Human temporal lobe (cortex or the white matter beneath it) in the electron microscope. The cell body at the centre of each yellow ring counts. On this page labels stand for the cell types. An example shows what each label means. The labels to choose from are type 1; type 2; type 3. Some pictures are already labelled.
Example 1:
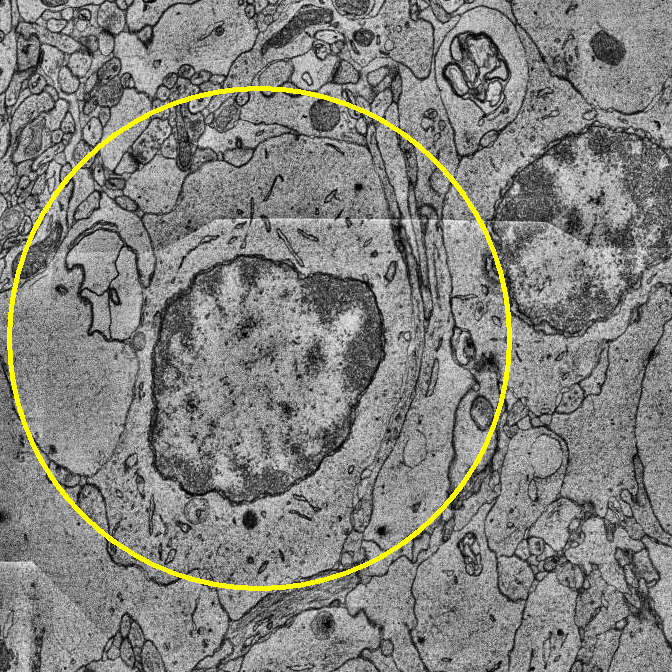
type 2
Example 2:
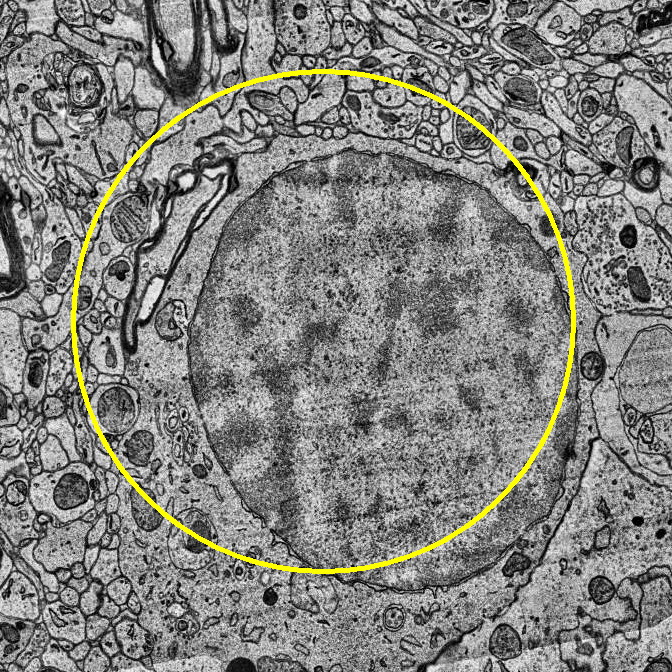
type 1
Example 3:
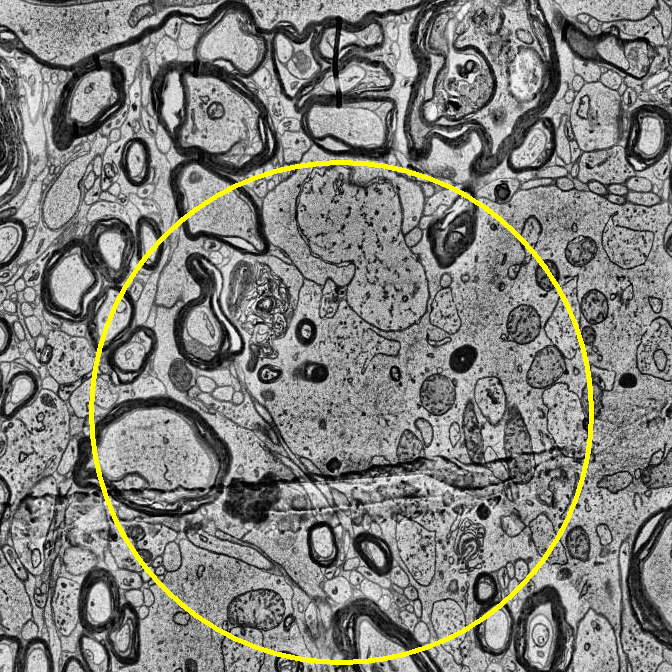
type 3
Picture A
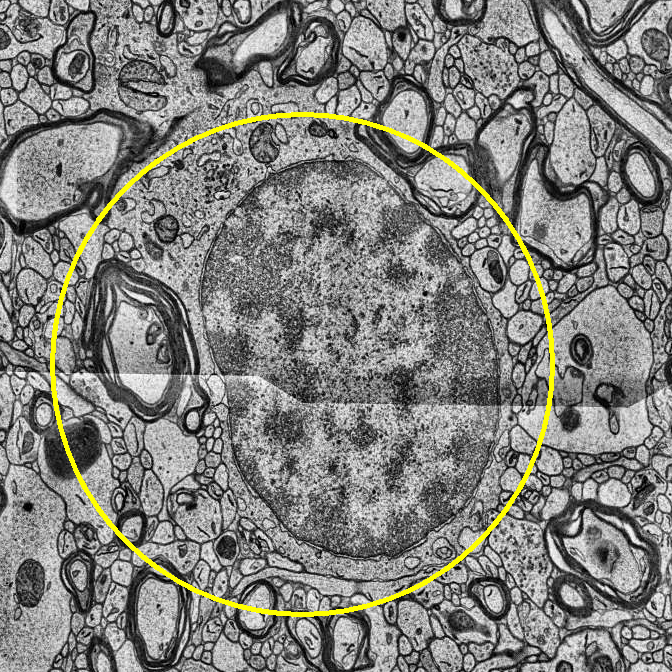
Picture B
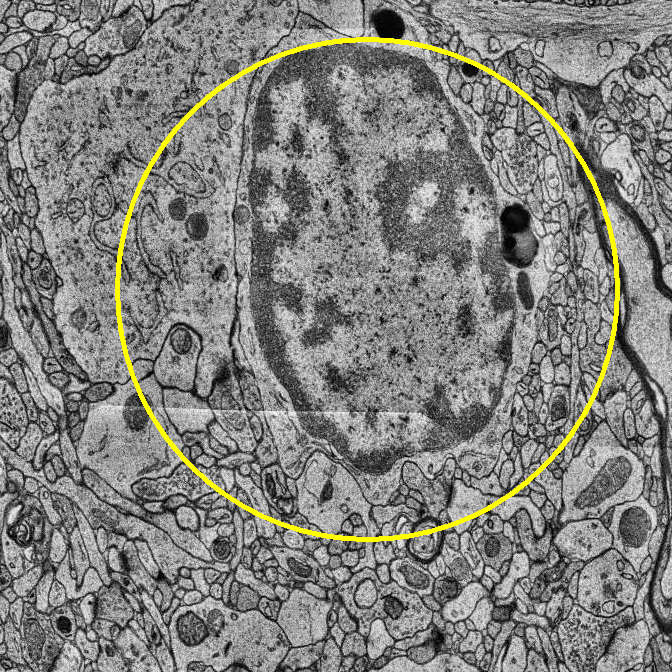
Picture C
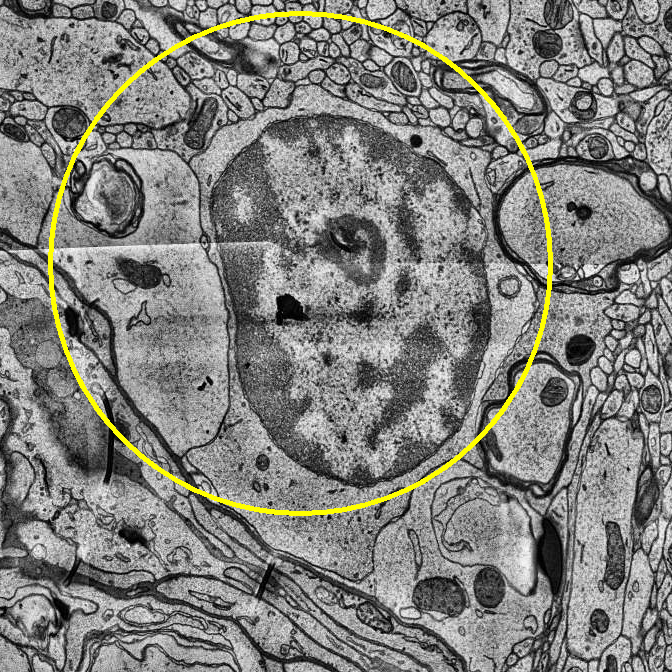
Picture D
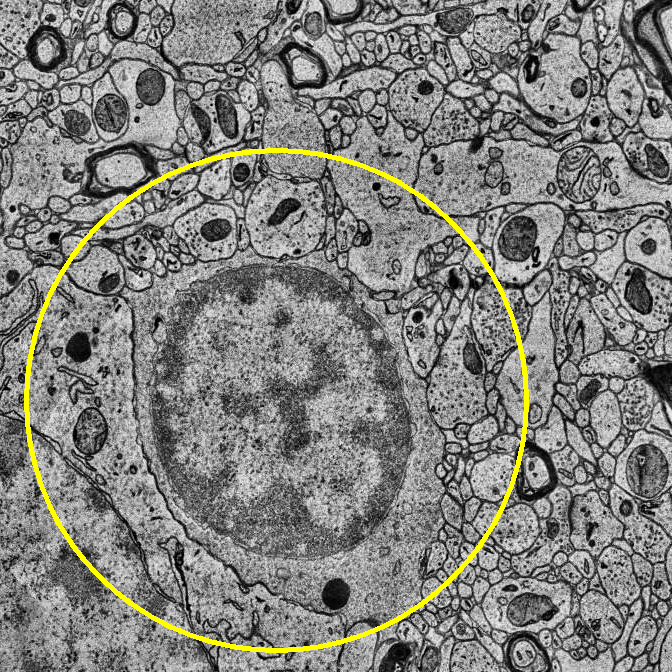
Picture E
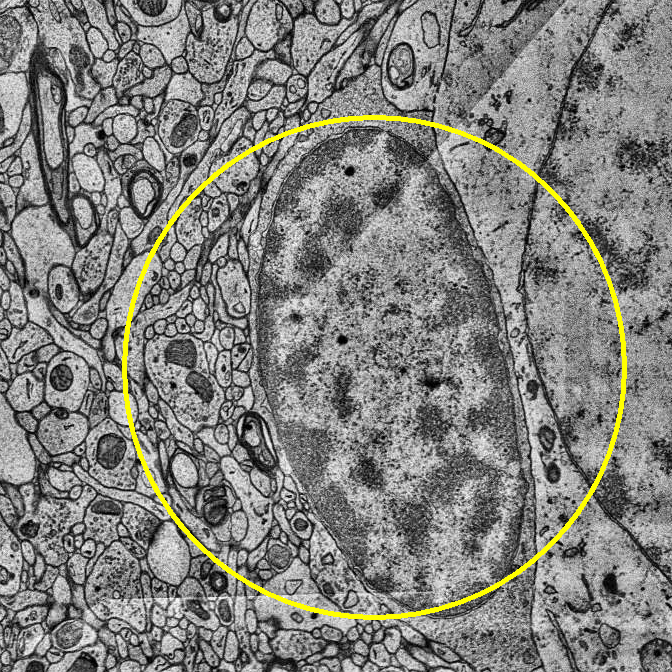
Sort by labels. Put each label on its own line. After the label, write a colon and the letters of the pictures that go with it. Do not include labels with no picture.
type 1: A, D, E
type 2: B, C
